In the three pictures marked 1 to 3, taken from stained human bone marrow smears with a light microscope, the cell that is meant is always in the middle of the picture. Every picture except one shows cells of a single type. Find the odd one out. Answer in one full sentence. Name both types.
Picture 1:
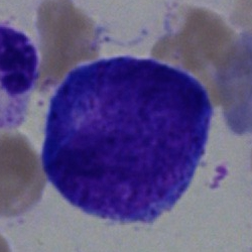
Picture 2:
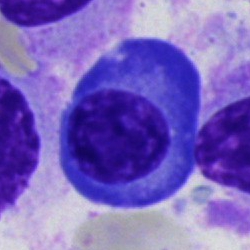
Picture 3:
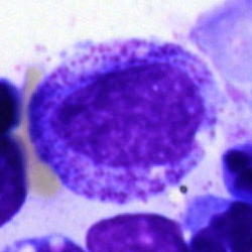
The different one is picture 2; it shows a plasma cell, whereas all the others show promyelocytes.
